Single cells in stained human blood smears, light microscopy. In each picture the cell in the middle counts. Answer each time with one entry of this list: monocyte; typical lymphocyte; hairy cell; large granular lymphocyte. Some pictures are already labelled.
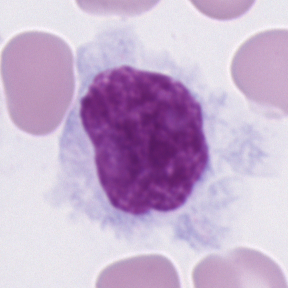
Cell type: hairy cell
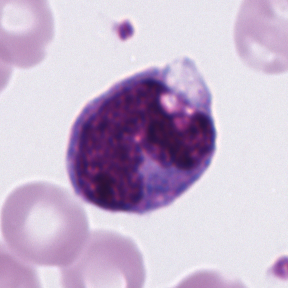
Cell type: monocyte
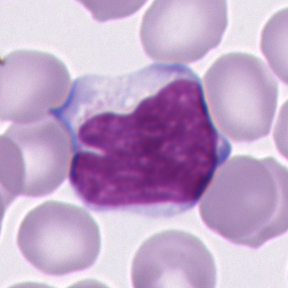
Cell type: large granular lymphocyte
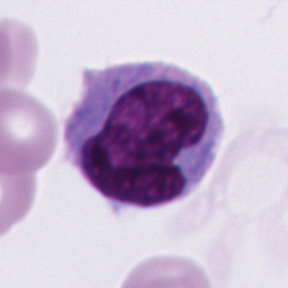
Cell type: monocyte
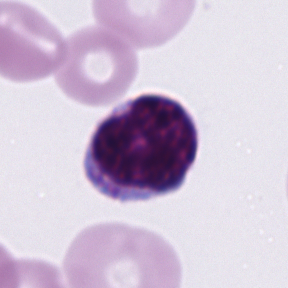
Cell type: typical lymphocyte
